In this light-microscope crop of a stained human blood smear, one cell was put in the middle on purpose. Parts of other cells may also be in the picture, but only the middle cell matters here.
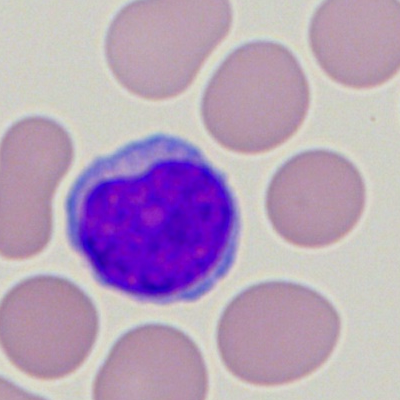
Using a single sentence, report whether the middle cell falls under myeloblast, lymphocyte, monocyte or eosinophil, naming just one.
The cell at the central position in this crop is a lymphocyte.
